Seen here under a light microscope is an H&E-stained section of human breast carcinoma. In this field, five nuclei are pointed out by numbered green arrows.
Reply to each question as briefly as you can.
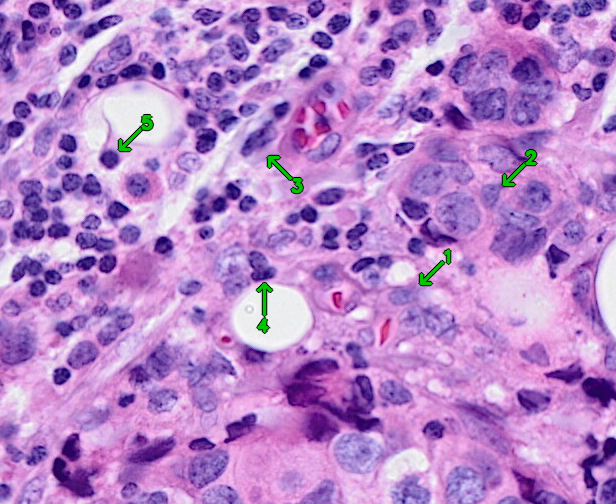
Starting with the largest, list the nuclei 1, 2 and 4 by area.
1, 2, 4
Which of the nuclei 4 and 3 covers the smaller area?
4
